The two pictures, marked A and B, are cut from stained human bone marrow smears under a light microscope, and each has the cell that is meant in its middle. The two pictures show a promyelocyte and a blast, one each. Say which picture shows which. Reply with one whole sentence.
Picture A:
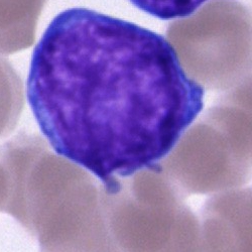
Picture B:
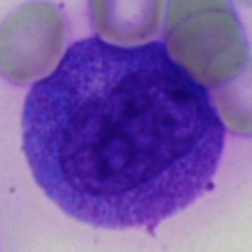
Picture B shows a promyelocyte, while picture A shows a blast.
